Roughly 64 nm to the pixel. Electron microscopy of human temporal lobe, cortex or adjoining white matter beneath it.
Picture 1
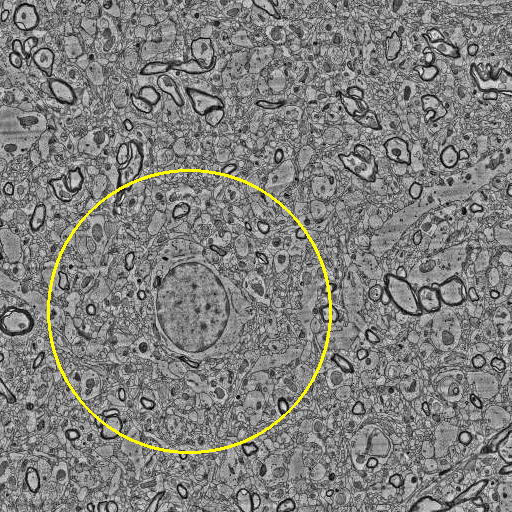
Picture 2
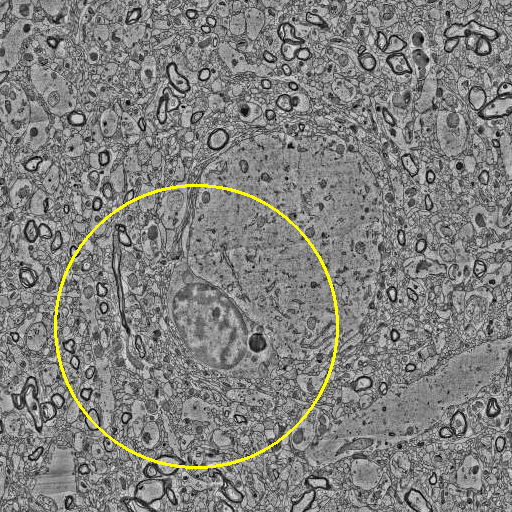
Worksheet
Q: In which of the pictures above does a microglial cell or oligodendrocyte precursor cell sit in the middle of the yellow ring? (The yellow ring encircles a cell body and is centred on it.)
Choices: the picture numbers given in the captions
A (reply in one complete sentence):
In picture 1, the cell sitting at the centre of the ring is the match.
